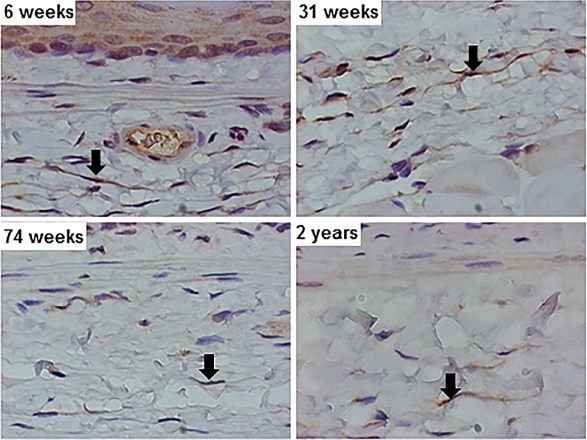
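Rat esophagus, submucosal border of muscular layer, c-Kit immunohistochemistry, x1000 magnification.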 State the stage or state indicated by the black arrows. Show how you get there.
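Spindle shaped. The arrowed cells are long and narrow, tapering at both ends. Thin brown-stained processes extend from the arrowed cells. Their nuclei are elongated and dark blue.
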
